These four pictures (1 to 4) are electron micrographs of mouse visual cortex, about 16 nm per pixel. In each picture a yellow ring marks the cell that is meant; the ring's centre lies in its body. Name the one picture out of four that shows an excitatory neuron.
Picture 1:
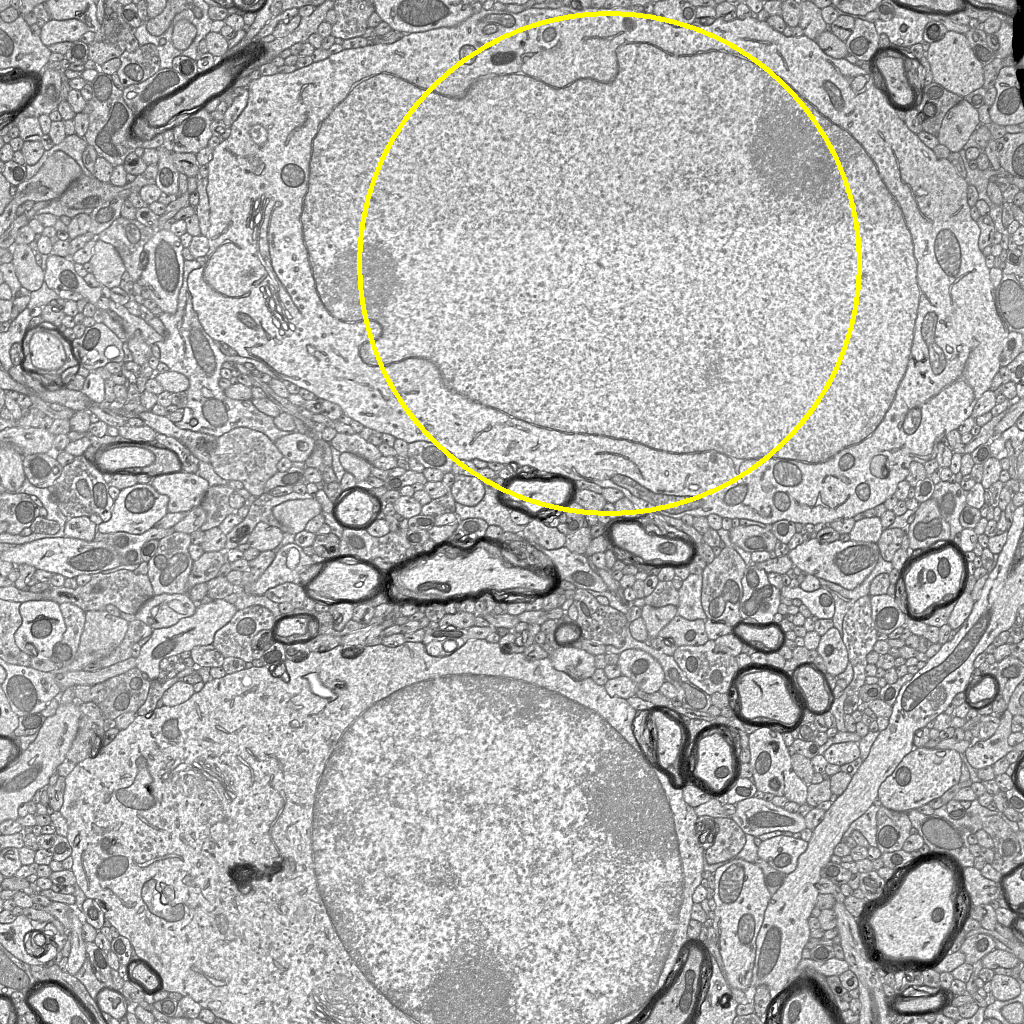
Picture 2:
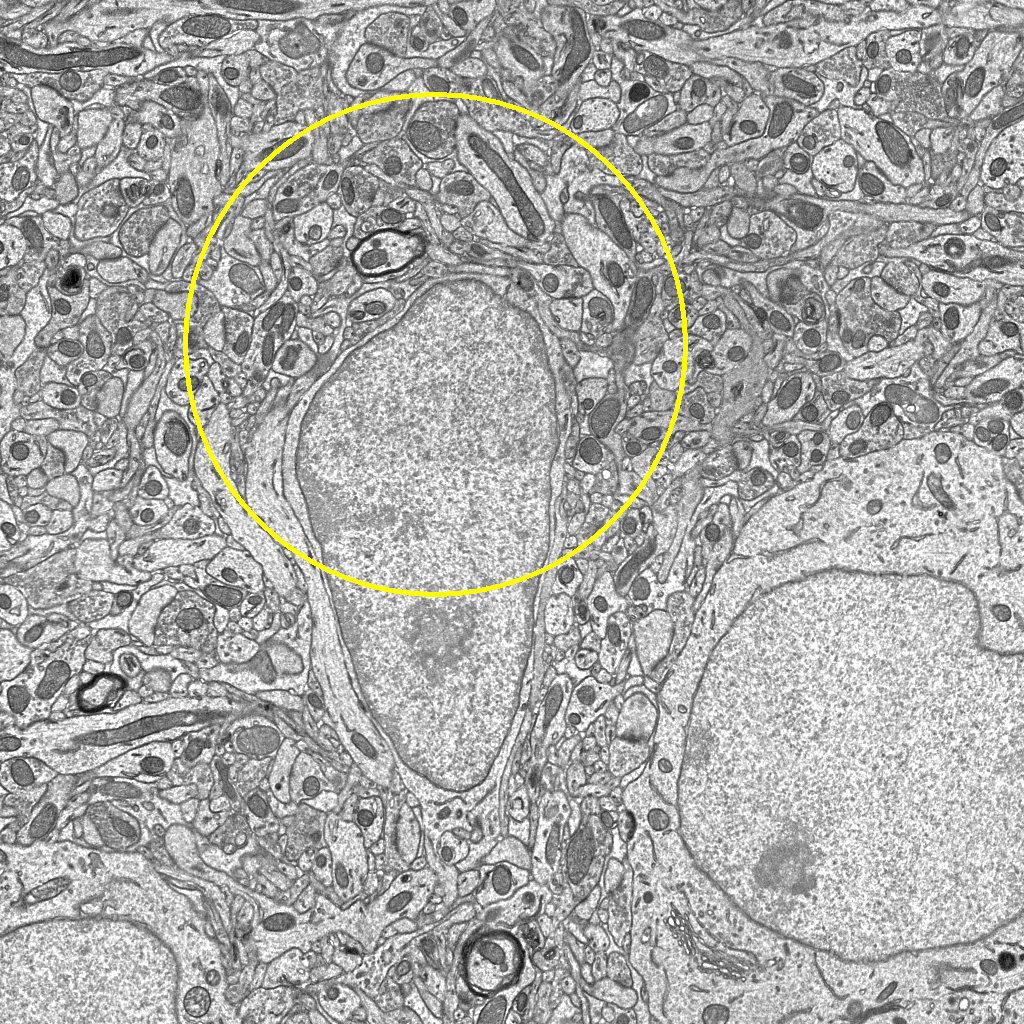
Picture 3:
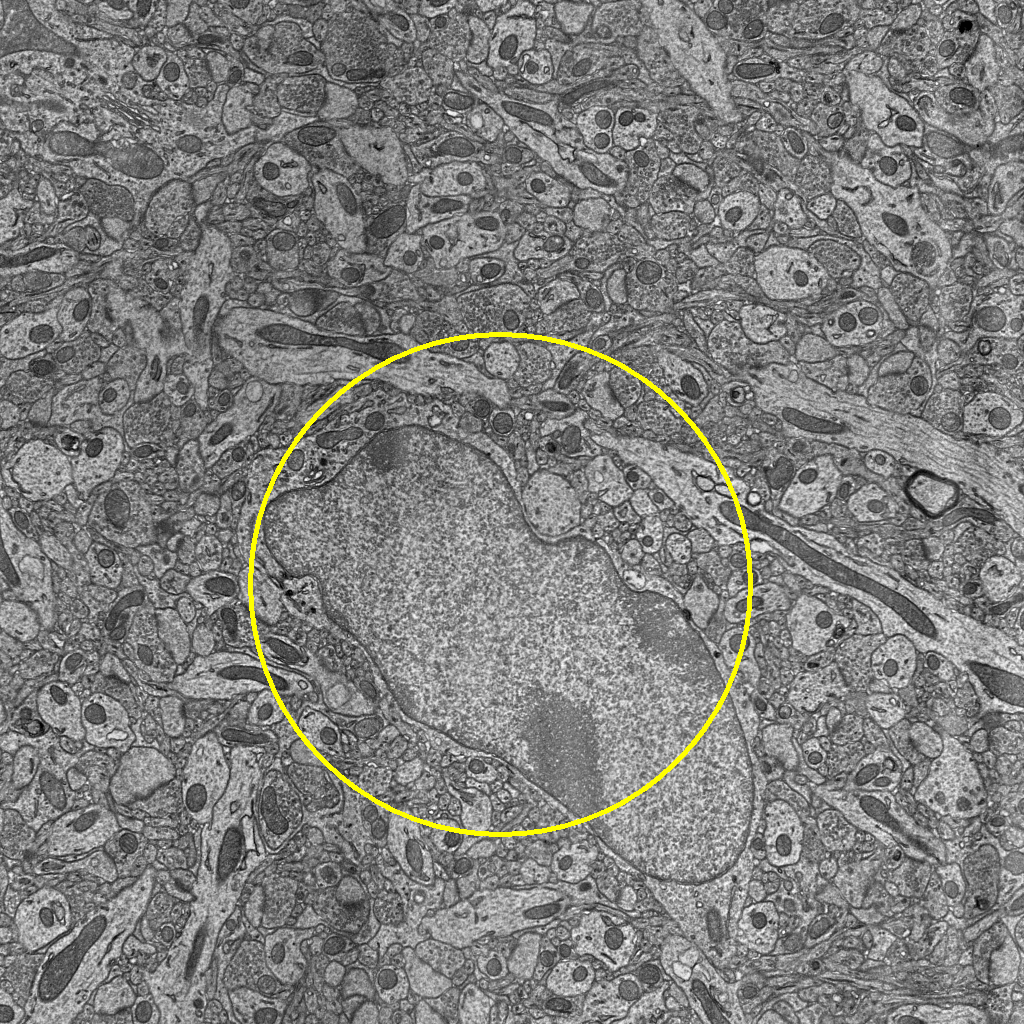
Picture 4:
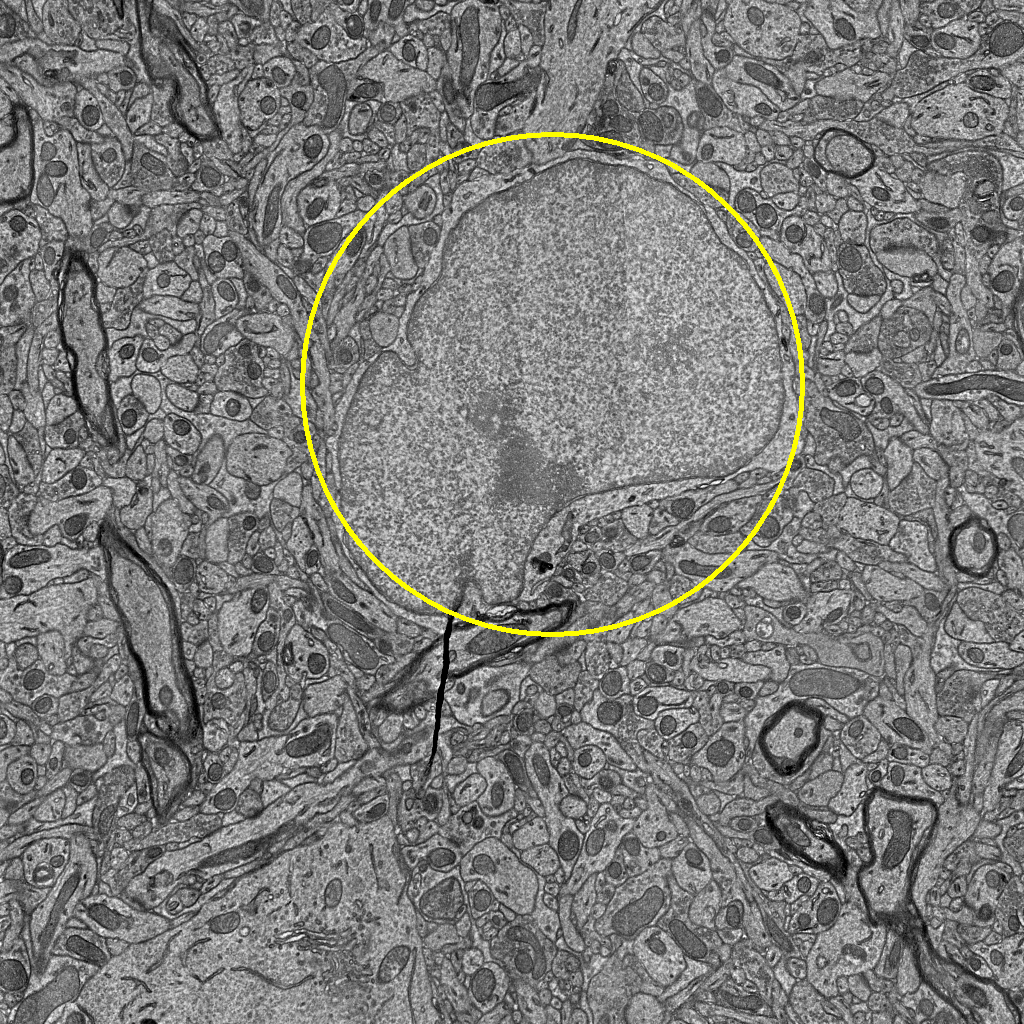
Picture 1 is the one that shows the excitatory neuron.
